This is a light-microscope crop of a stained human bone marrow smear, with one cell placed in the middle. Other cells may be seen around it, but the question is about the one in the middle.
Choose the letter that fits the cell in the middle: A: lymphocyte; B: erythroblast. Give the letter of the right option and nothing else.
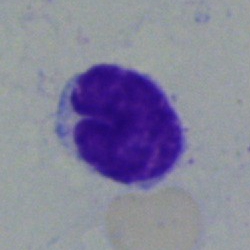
A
